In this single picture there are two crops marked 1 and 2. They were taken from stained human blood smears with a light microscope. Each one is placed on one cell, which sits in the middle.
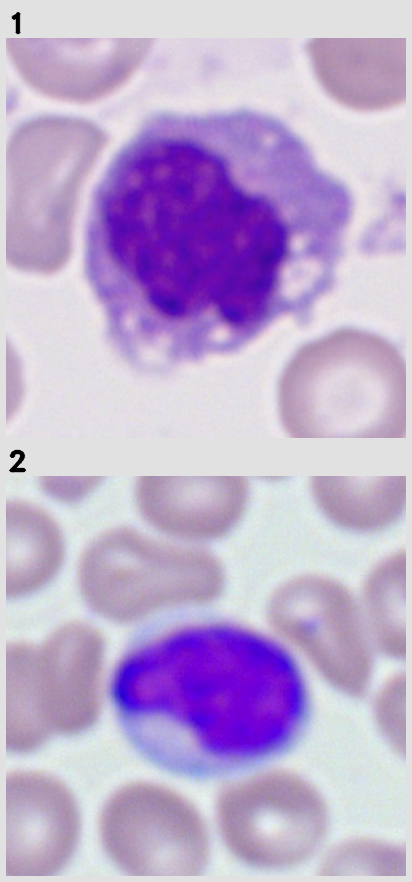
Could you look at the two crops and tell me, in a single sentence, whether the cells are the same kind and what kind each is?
No, crop 1 shows a monocyte, with a lymphocyte shown in crop 2.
